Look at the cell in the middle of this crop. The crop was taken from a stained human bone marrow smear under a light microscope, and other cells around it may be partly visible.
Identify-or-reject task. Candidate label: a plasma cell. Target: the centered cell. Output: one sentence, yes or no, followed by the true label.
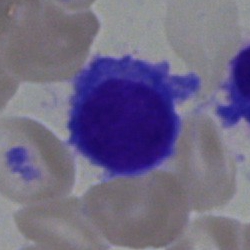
Yes, the cell in the exact middle is a plasma cell.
